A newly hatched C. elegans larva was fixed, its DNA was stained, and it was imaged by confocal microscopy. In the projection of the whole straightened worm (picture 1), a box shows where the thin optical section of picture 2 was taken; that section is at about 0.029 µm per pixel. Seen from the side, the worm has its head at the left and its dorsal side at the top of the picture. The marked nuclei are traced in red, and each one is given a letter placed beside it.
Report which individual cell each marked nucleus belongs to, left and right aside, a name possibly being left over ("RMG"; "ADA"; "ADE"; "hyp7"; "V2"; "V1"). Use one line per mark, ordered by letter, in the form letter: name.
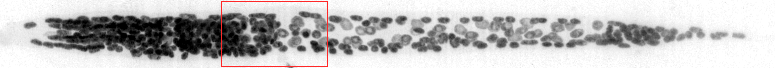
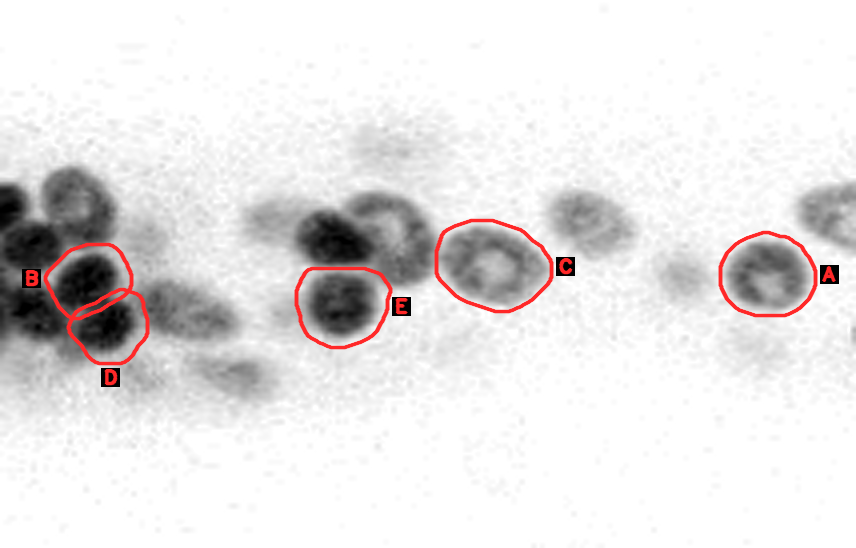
A: V1
B: ADE
C: hyp7
D: ADA
E: RMG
